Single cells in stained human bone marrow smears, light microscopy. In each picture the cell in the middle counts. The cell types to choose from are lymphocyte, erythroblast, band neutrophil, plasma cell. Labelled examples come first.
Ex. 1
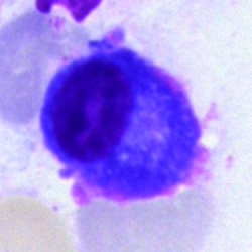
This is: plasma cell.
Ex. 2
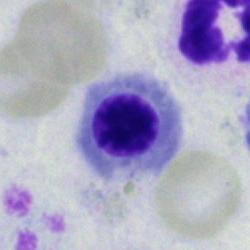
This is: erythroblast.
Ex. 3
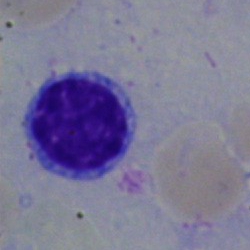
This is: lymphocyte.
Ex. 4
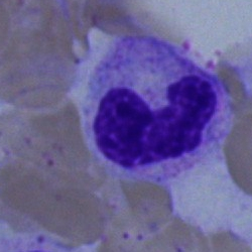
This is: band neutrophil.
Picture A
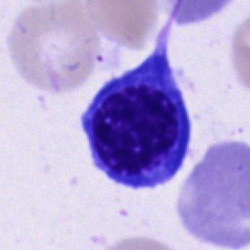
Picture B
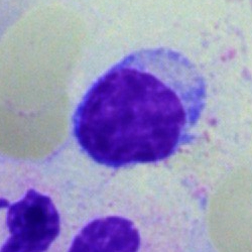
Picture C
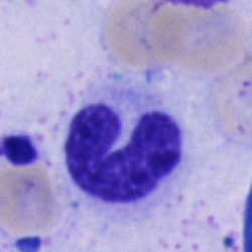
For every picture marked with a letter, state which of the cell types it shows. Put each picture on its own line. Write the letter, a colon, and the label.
A: erythroblast.
B: lymphocyte.
C: band neutrophil.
